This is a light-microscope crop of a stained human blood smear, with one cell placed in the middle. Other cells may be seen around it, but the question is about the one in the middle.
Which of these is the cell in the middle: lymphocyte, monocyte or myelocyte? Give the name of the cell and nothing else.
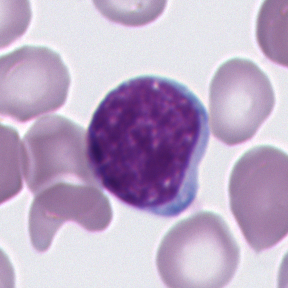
lymphocyte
